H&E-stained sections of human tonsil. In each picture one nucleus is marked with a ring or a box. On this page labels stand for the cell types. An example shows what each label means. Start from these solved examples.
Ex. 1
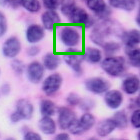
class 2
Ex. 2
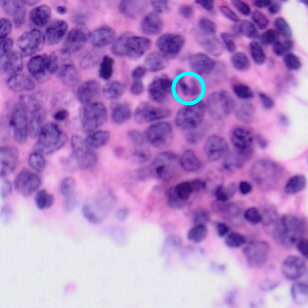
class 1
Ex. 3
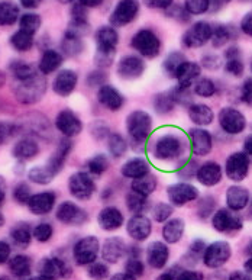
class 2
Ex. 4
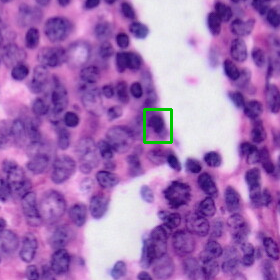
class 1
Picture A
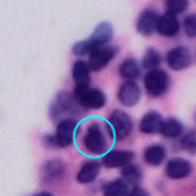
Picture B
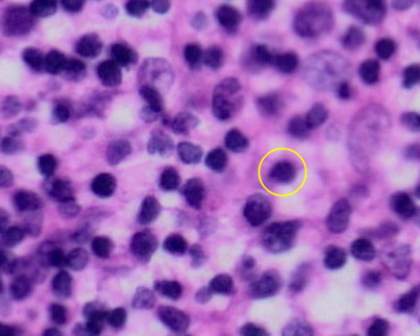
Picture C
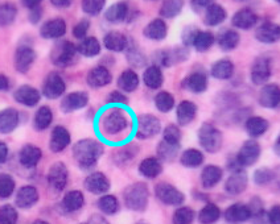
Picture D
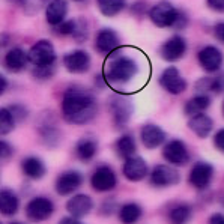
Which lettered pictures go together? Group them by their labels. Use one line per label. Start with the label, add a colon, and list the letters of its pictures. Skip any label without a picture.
class 2: A, C, D
class 1: B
